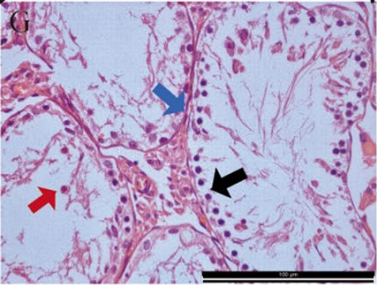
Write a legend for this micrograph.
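Seminiferous tubules show an atrophic epithelium reduced to one or two layers of spermatogenic cells along a thin tubule wall. The lumens are wide and pale with loose fibrillar material and scattered rounded cells that have come loose into the lumen, unlike the densely layered normal epithelium.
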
